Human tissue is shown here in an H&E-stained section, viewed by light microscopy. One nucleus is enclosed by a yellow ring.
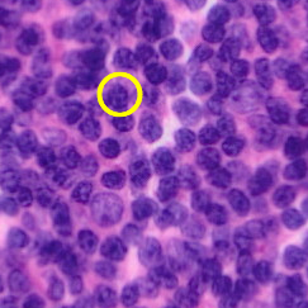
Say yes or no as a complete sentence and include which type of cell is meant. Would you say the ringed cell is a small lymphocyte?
Yes, the ringed cell in this section represents a small lymphocyte.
